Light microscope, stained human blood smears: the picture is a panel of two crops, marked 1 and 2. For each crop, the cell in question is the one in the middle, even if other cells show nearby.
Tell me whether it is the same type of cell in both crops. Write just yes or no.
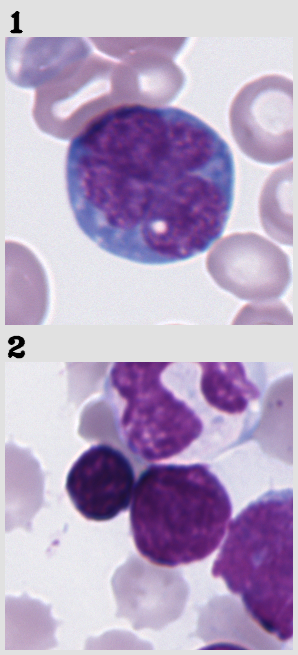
yes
